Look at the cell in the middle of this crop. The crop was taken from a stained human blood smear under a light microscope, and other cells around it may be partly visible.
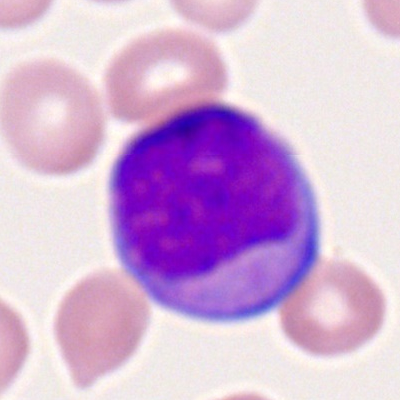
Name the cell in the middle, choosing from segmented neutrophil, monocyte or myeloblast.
myeloblast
